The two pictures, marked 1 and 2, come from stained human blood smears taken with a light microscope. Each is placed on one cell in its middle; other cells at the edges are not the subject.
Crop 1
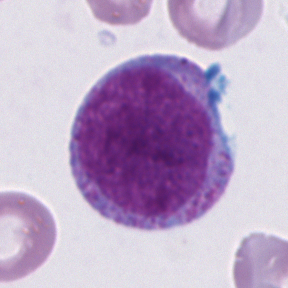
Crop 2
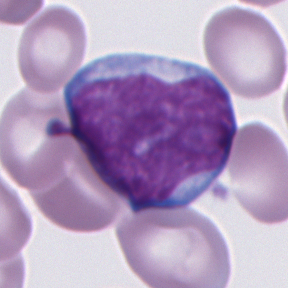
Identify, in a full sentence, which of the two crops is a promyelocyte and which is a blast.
Placed in the middle of crop 1 is a promyelocyte, and in the middle of crop 2, a blast.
